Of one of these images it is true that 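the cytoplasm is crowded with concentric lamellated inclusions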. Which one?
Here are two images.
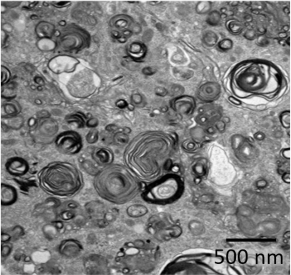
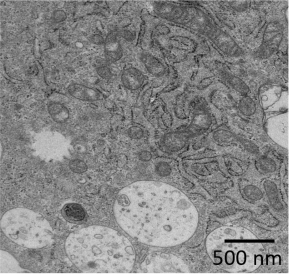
the first image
